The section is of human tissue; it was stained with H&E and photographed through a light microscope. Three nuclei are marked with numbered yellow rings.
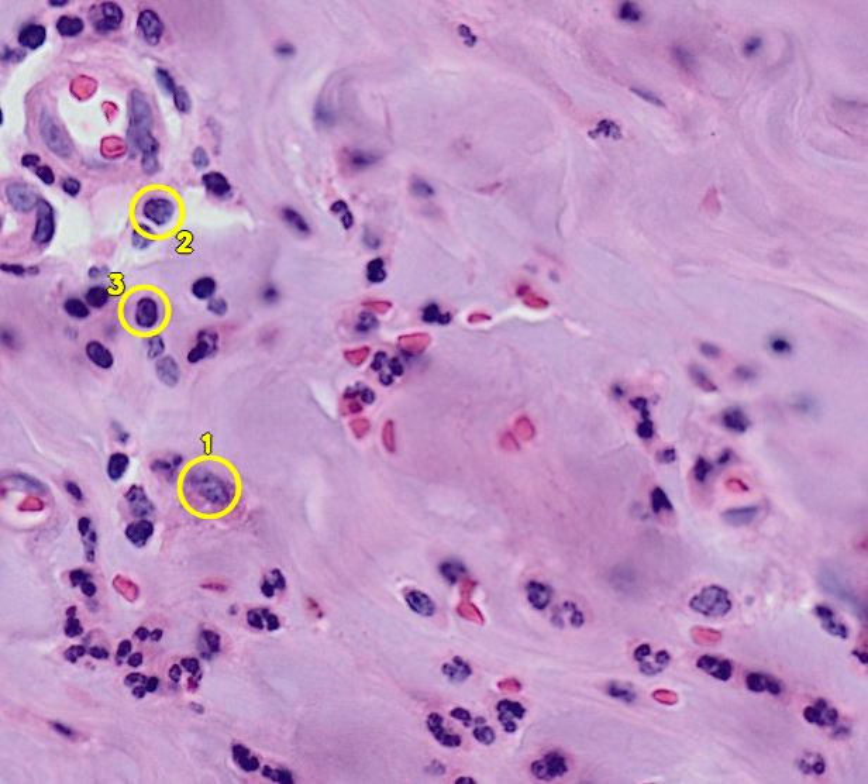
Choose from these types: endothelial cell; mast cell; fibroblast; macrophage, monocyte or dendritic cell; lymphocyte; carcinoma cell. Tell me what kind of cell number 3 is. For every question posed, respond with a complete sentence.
Among the marked nuclei, number 3 belongs to a lymphocyte.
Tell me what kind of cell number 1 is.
The label 1 in this section denotes a mast cell.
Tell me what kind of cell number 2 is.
Denoted by the label 2 in the section is a lymphocyte.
